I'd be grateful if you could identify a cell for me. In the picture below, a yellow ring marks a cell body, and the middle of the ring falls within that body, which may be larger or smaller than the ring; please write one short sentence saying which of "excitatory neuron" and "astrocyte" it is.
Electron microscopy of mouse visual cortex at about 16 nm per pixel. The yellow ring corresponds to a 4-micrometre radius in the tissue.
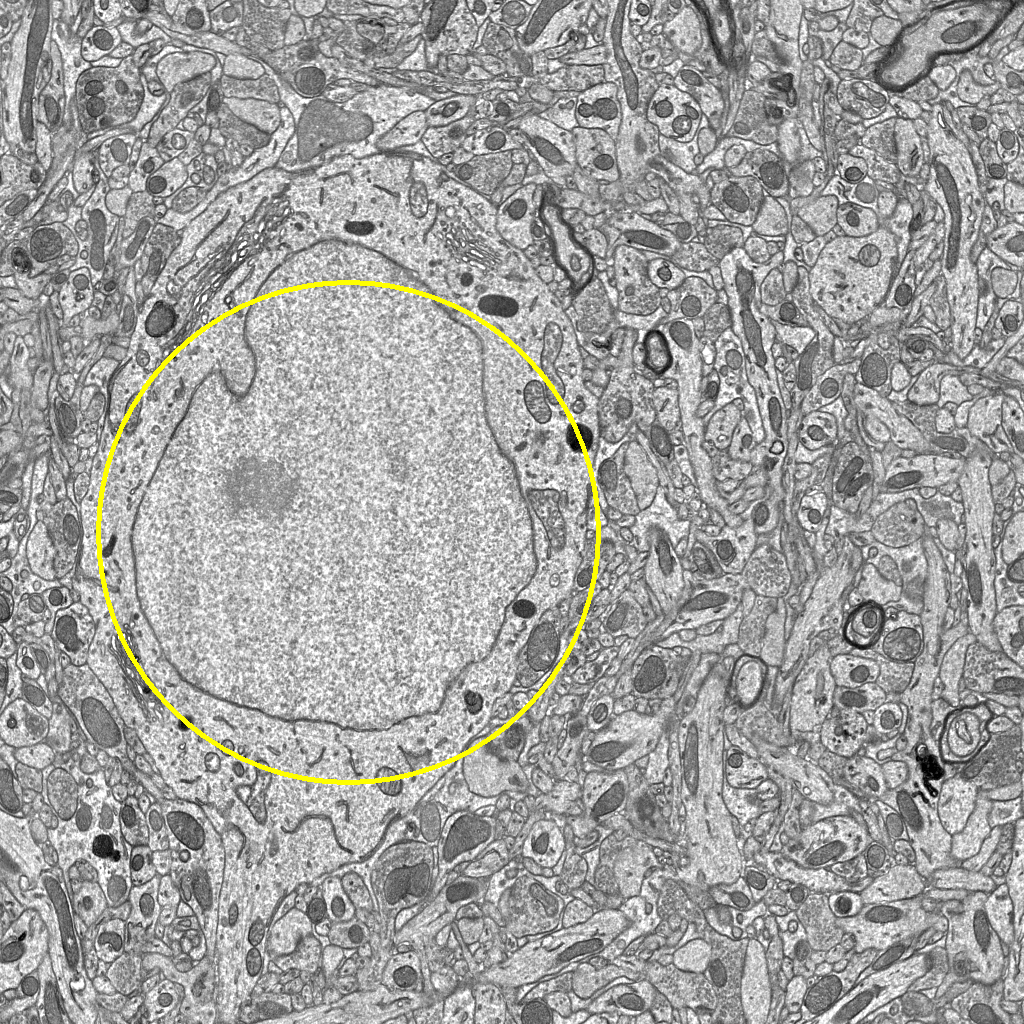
The cell under the ring's centre is an excitatory neuron.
